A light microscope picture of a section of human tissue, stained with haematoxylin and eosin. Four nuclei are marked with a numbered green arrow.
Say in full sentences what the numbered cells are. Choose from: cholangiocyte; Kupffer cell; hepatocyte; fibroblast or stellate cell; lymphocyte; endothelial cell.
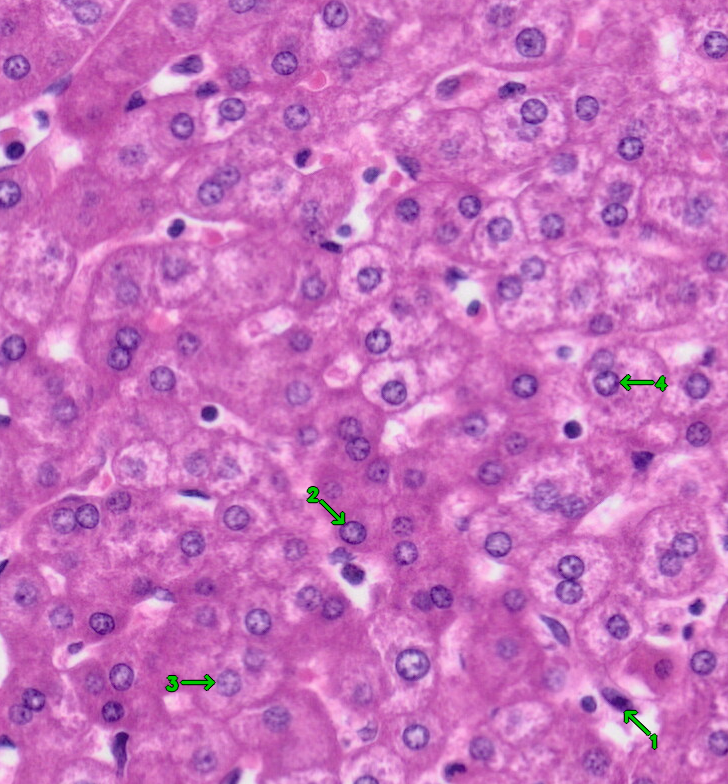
Cell 1 is a Kupffer cell, cell 2 is a hepatocyte, cell 3 is a hepatocyte and cell 4 is a hepatocyte.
